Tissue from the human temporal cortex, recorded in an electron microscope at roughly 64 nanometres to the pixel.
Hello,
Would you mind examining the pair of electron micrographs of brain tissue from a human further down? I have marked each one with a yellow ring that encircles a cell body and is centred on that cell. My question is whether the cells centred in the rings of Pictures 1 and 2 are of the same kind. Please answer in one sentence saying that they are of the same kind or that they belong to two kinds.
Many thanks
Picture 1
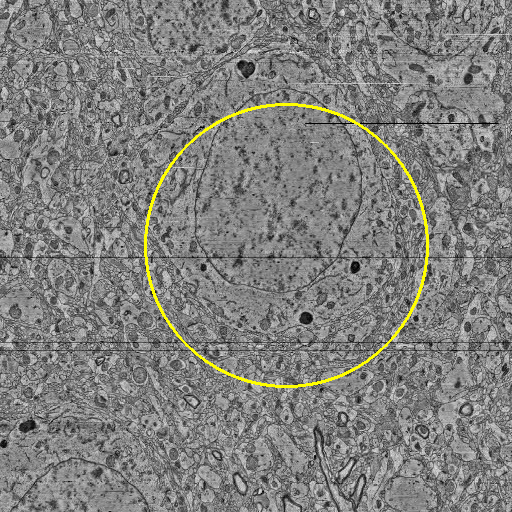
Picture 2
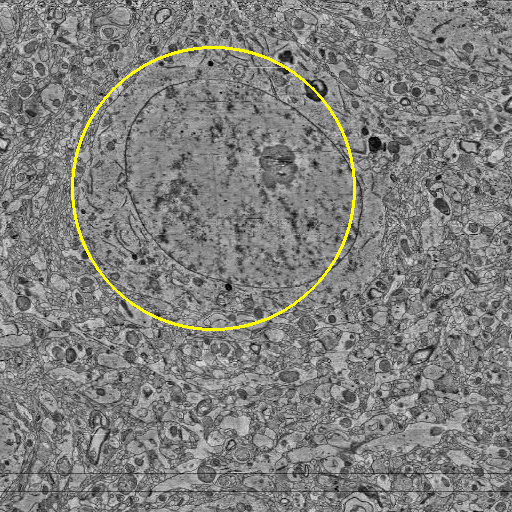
In Pictures 1 and 2, the cells at the heart of the rings are of the same kind.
